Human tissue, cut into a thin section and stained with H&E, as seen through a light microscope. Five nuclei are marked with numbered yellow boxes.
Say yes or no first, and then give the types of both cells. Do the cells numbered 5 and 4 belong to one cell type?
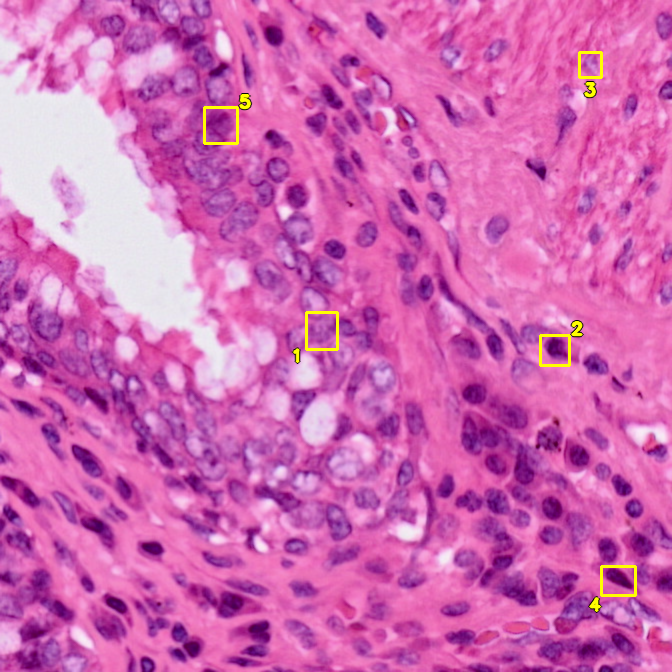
No, here cell 5 is a ciliated epithelial cell, whereas cell 4 is a plasma cell.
